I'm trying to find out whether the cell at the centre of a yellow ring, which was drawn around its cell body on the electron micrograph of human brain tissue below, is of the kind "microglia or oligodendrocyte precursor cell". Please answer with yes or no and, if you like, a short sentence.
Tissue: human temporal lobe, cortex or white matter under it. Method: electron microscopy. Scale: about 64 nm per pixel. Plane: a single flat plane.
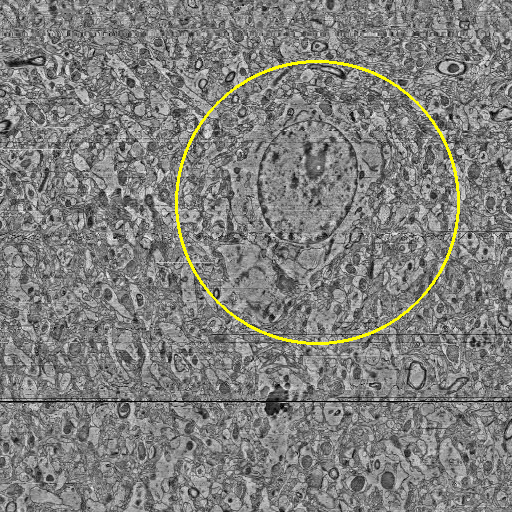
No, that cell is of another kind.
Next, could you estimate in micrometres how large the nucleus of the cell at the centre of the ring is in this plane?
In this plane the nucleus measures roughly 9 by 7 micrometers.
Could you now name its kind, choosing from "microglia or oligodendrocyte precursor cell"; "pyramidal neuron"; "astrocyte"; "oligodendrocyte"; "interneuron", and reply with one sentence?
The cell shown in the ring is an astrocyte.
